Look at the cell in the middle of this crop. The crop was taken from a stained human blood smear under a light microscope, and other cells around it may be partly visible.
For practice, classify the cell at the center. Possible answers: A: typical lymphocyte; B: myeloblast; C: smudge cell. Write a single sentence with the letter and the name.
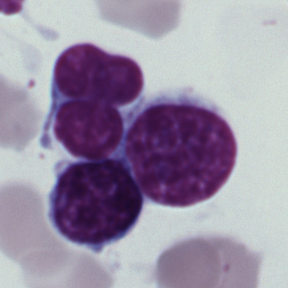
That middle cell is a myeloblast, and option B is therefore correct.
